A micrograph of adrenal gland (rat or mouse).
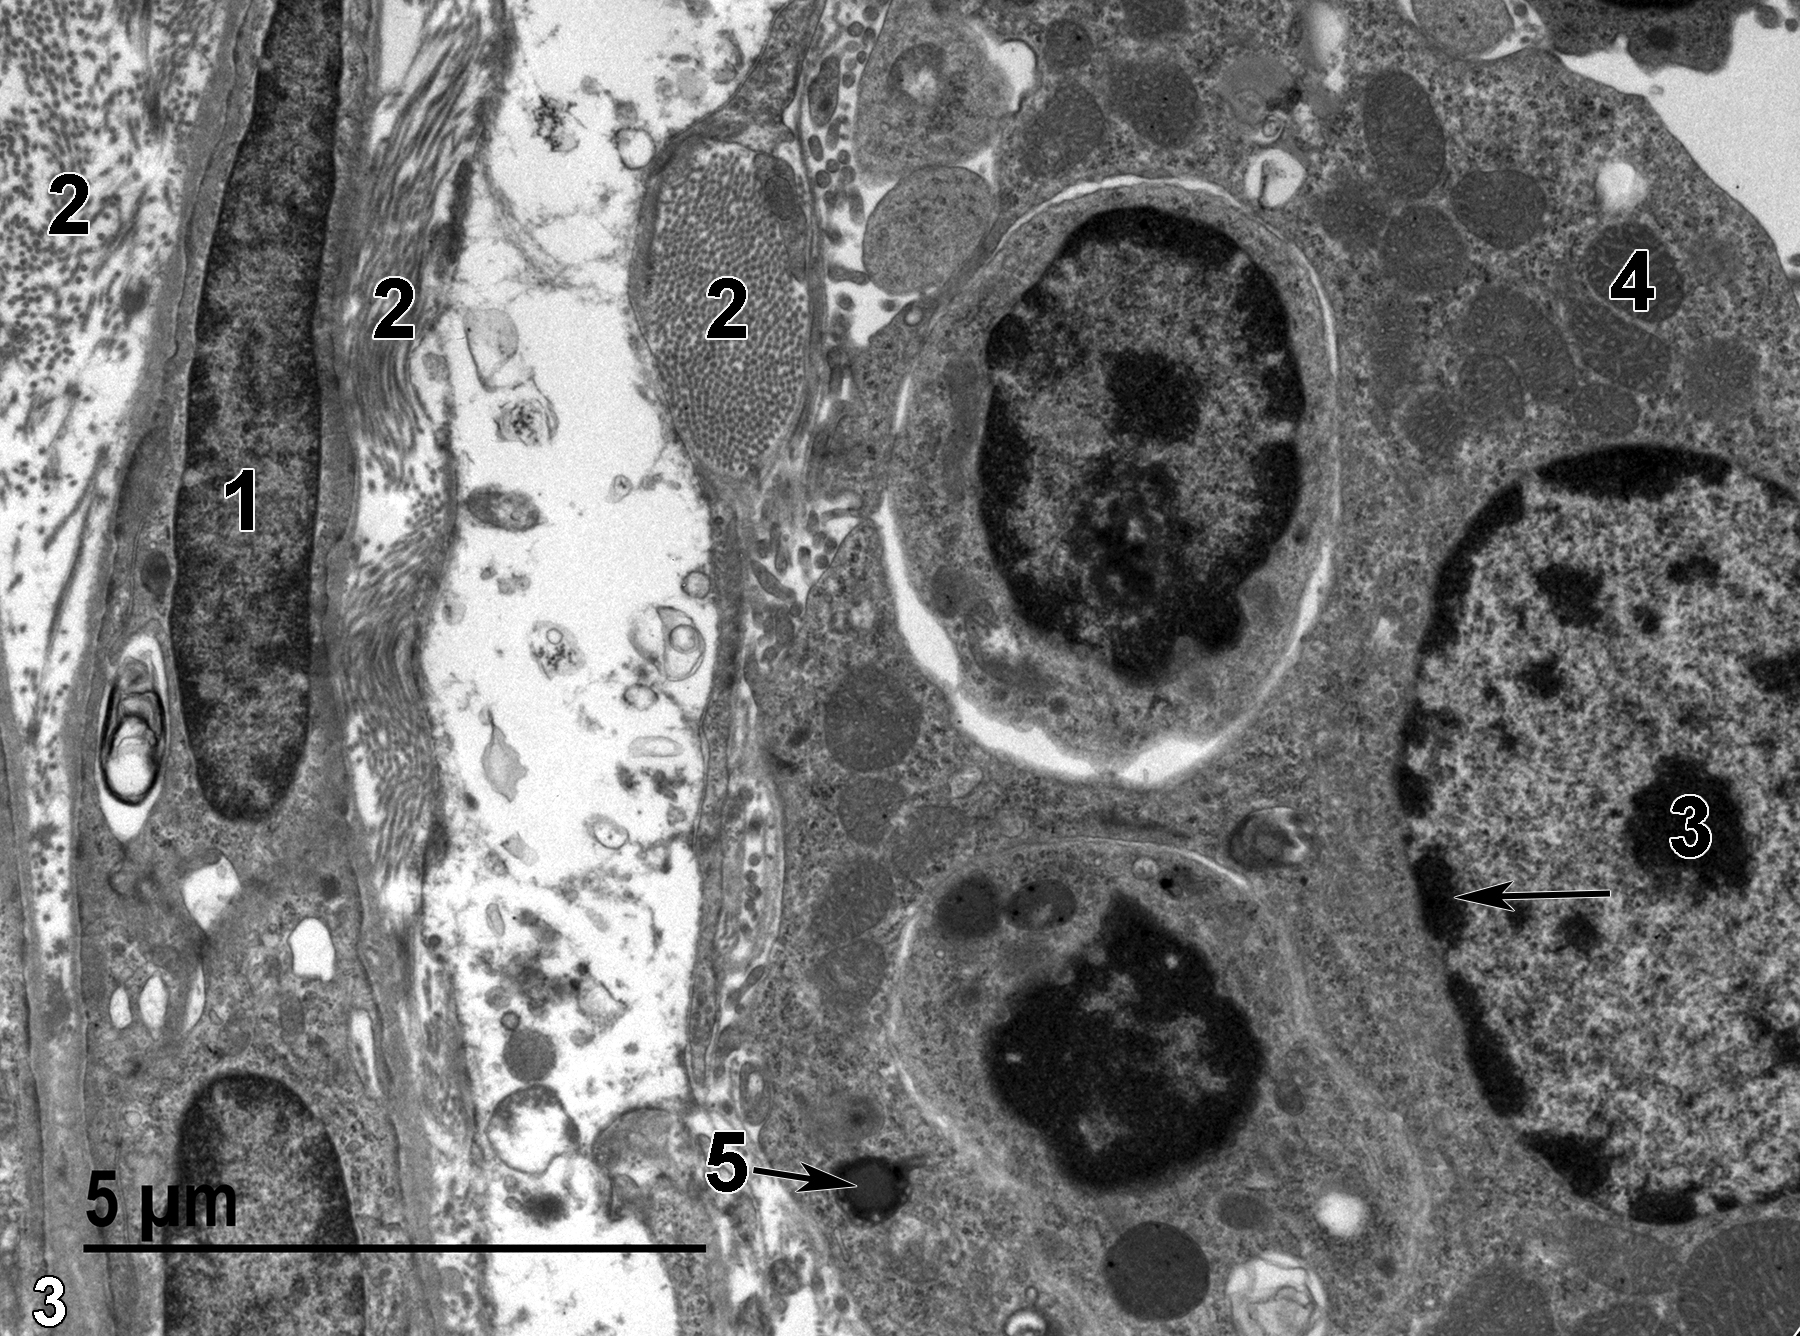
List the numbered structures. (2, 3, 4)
2 collagen
3 nucleolus
4 mitochondria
